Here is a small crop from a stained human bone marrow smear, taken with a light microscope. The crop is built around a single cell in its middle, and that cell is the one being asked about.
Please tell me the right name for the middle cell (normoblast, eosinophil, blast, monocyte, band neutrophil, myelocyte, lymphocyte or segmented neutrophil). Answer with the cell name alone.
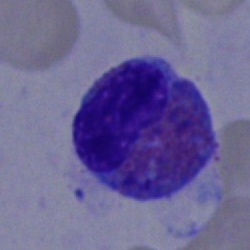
eosinophil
